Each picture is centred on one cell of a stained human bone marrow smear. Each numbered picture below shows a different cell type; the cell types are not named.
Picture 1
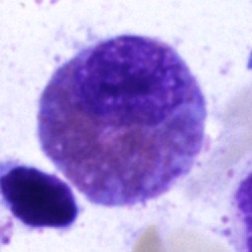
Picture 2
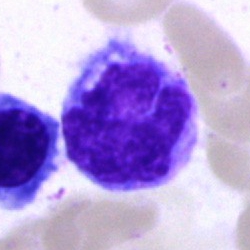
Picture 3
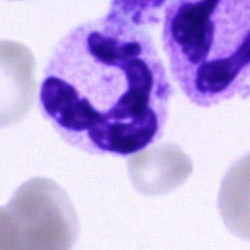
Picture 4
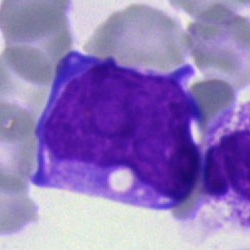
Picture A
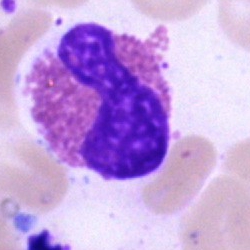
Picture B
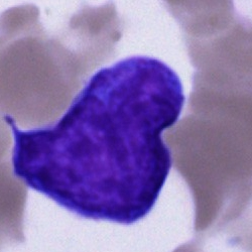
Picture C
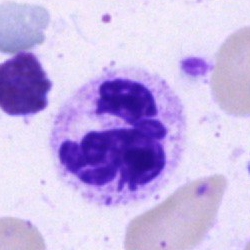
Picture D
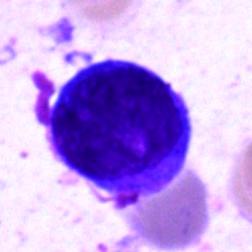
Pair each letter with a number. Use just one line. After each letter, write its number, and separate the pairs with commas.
A 1, B 4, C 3, D 4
